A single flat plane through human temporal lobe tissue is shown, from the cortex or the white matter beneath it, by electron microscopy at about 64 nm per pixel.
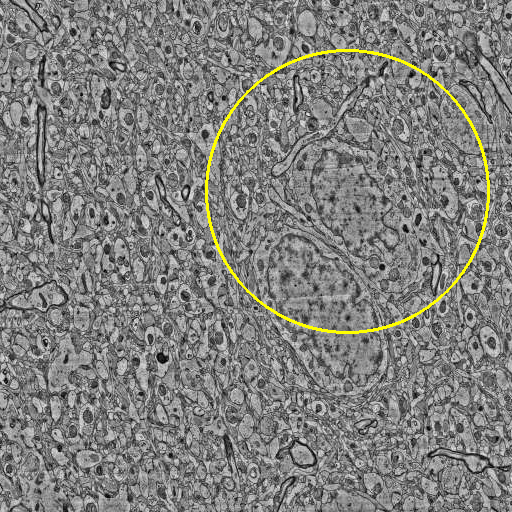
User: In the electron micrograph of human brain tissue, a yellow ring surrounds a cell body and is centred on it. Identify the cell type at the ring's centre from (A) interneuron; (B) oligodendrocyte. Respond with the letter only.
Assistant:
A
